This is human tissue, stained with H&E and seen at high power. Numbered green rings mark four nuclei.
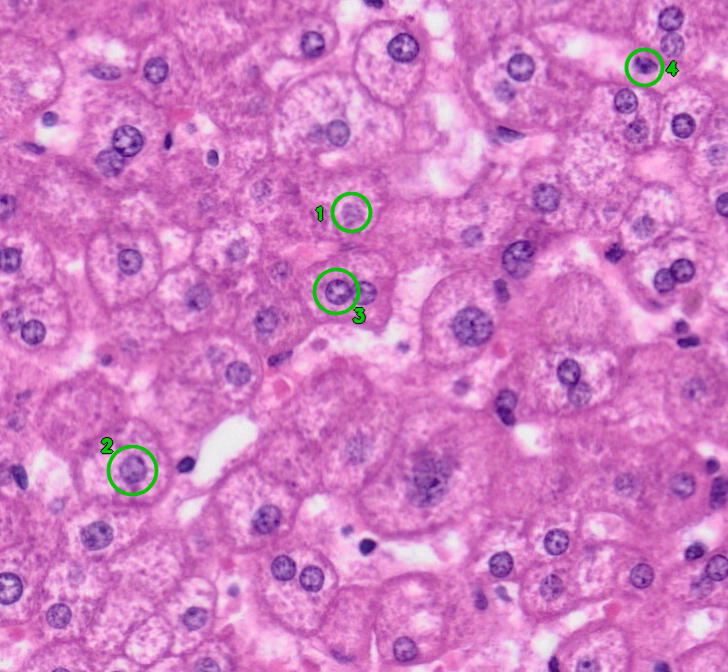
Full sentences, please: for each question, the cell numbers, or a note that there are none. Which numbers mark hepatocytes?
In this section, the cells labelled 1, 2 and 3 are hepatocytes.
